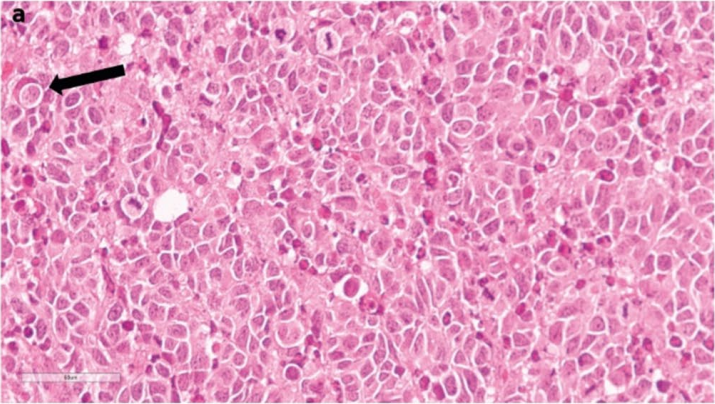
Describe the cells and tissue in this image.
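This is a sheet of densely packed tumour cells with very little stroma between them. The cells are rounded to polygonal, with sharp cell borders and moderate amounts of pale pink cytoplasm. Their nuclei are round to oval and fairly uniform, and some are darker and more condensed. Near the upper left edge, one cell curves like a crescent around a neighbouring rounded cell, forming a small ring. No glandular or organised architecture is seen; the cells simply lie side by side in a solid, patternless sheet.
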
